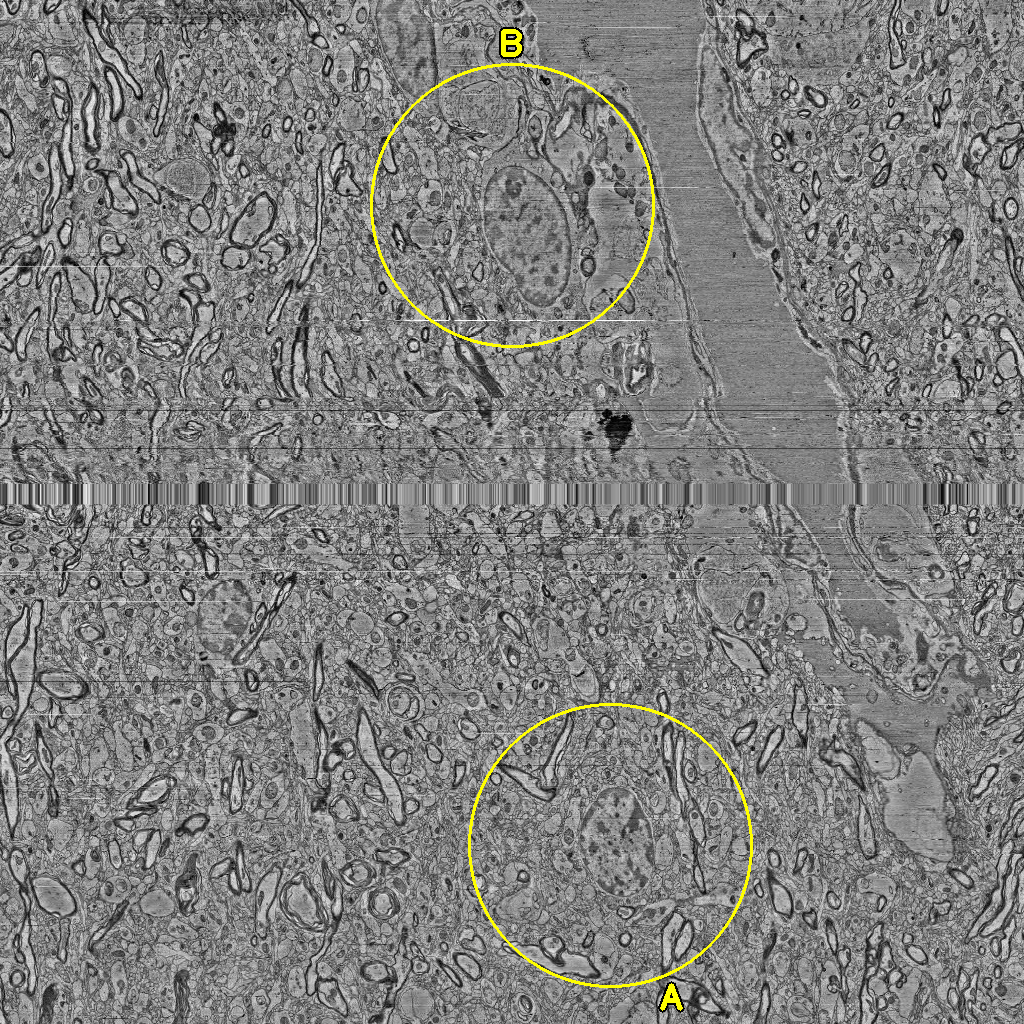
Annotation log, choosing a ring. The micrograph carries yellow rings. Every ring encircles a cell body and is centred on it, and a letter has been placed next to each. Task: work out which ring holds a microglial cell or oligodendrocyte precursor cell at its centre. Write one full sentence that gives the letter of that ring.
In the micrograph, the ring centred on the cell asked for carries the letter A.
